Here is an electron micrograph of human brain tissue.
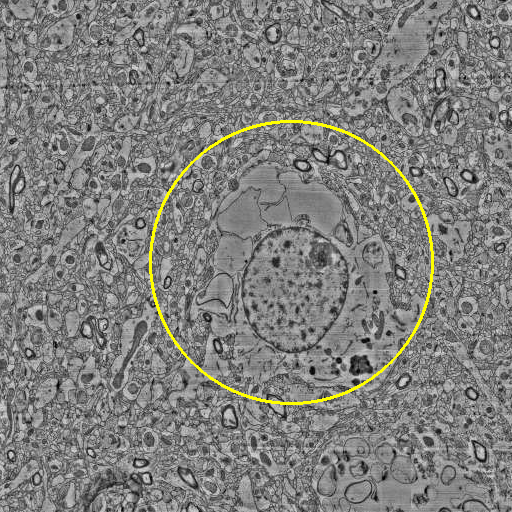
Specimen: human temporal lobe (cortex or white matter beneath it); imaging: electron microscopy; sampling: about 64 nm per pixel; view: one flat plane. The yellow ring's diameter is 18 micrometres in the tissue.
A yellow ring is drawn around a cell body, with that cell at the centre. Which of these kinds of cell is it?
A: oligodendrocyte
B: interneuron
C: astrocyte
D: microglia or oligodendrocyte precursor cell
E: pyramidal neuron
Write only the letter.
C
